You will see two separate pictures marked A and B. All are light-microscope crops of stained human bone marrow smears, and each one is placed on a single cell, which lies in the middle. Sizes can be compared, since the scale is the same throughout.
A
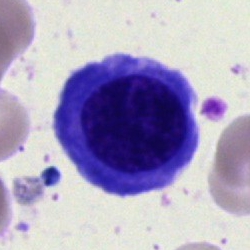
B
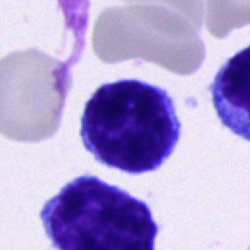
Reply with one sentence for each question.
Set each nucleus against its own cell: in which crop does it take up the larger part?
It is the cell in crop B that is filled more by its nucleus.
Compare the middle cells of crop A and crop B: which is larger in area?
Larger is the cell in crop A, at roughly 2 times the area of the other.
